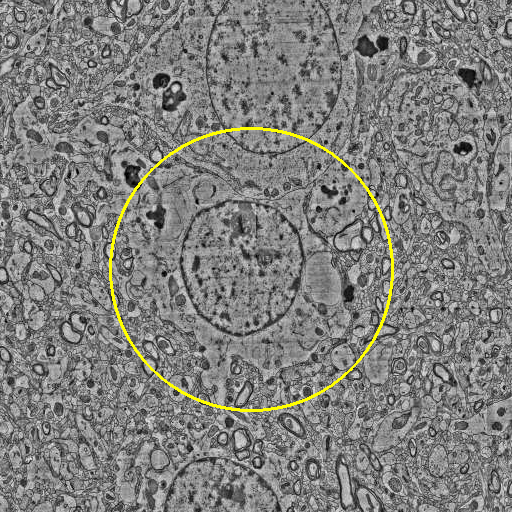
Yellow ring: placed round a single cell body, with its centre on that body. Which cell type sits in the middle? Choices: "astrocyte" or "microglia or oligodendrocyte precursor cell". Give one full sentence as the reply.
It is an astrocyte whose cell body sits at the centre of the yellow ring.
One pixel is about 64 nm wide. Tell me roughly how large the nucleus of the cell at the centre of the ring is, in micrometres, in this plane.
About 8 micrometres across in this plane.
